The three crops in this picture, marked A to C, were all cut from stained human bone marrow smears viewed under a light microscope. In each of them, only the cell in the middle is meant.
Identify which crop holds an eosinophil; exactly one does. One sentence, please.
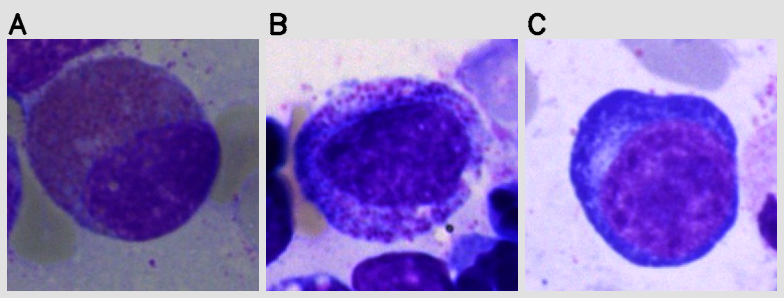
Crop A shows an eosinophil, and no other crop does.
